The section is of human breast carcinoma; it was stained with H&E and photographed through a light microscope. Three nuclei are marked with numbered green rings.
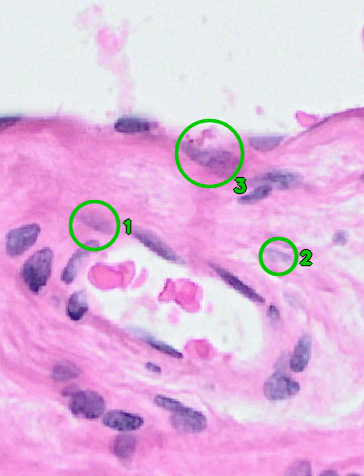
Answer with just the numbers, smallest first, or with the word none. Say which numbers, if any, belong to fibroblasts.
2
